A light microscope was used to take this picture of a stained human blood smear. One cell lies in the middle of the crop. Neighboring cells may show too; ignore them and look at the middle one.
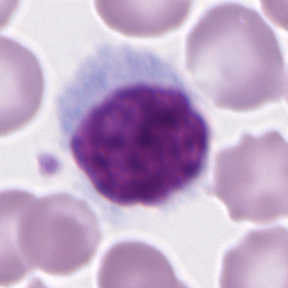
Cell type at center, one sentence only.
Seen at the centre of the crop is a hairy cell.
